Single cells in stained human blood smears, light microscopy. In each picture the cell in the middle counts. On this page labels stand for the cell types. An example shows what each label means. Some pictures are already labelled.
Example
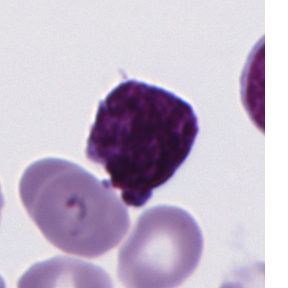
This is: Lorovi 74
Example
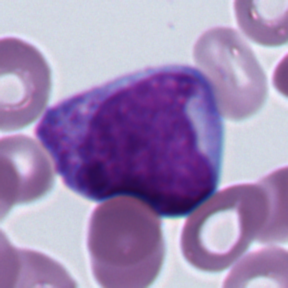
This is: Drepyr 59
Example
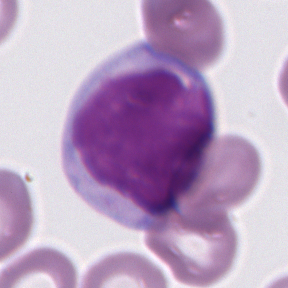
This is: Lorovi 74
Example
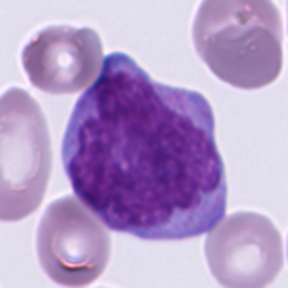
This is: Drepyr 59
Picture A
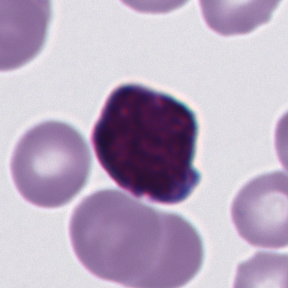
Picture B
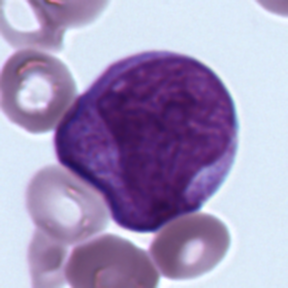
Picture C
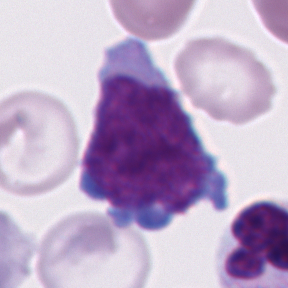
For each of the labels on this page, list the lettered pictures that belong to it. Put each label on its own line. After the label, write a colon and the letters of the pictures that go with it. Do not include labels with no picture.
Lorovi 74: A, C
Drepyr 59: B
